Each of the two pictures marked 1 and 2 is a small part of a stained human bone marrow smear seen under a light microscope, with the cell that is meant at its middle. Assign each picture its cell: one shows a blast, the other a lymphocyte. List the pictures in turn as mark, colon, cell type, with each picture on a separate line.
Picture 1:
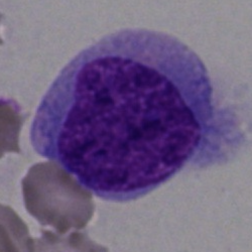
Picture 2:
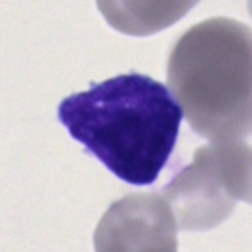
1: blast
2: lymphocyte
